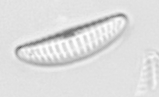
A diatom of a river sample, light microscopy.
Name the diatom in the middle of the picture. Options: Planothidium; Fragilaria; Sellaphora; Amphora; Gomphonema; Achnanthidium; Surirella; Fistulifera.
Amphora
